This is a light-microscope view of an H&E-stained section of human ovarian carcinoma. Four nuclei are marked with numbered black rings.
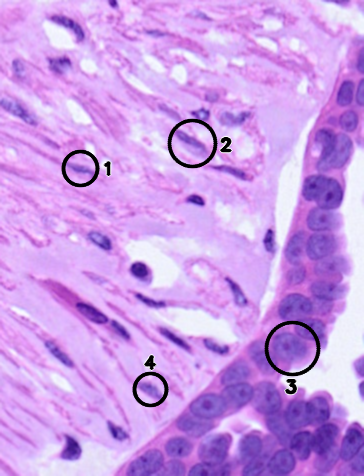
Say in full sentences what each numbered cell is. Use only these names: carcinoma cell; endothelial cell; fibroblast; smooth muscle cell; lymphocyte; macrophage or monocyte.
Cell 1 is a fibroblast, cell 2 is a fibroblast, cell 3 is a carcinoma cell and cell 4 is a fibroblast.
